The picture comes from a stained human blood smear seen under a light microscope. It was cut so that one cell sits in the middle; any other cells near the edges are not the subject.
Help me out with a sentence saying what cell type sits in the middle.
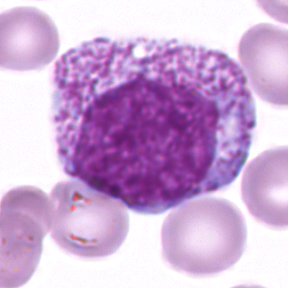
Standing at the centre of this crop is a promyelocyte.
